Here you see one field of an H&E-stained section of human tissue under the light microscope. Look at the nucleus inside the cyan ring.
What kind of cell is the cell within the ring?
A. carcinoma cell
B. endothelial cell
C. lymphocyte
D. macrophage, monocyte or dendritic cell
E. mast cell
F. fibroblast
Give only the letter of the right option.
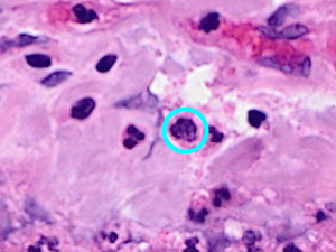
D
